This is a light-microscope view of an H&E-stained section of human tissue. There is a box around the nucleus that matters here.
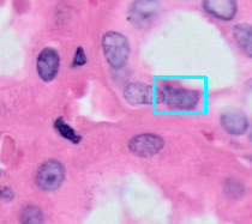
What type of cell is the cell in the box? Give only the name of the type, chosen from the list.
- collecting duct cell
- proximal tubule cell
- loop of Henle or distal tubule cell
collecting duct cell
